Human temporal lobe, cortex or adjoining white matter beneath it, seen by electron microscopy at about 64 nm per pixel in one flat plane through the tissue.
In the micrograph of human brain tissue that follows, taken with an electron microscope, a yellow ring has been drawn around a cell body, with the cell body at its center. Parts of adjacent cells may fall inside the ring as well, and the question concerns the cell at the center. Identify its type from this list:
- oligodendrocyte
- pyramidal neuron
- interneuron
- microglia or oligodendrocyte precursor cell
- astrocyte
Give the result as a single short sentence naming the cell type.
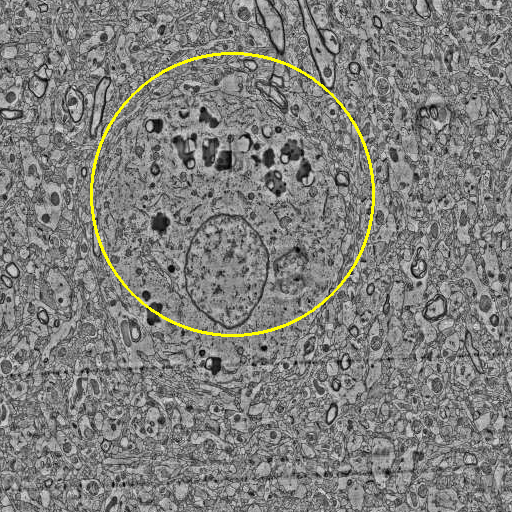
The ring is centered on a pyramidal neuron.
